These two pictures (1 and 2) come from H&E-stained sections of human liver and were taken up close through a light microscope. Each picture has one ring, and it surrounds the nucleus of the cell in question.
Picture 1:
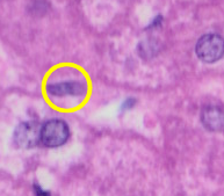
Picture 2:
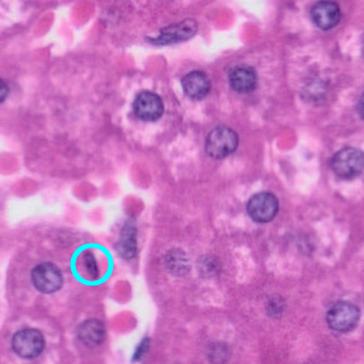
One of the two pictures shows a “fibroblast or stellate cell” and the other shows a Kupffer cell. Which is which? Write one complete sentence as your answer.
In picture 1 the cell is a Kupffer cell; in picture 2, a “fibroblast or stellate cell”.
